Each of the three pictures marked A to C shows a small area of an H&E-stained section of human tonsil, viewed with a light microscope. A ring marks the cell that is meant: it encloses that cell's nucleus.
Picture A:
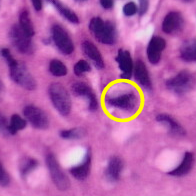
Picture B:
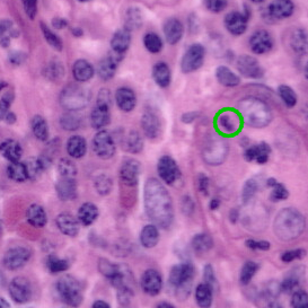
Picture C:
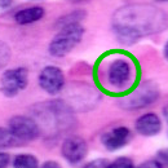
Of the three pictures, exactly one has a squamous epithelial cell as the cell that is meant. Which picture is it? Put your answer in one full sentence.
The cell in picture A is the squamous epithelial cell.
